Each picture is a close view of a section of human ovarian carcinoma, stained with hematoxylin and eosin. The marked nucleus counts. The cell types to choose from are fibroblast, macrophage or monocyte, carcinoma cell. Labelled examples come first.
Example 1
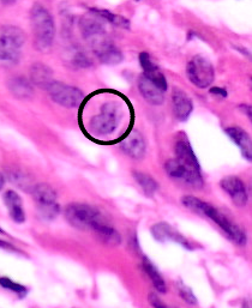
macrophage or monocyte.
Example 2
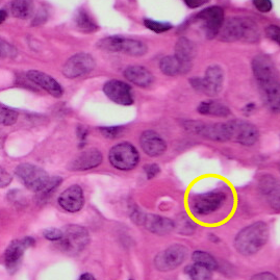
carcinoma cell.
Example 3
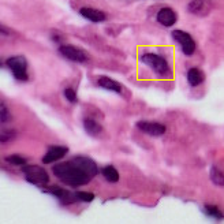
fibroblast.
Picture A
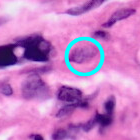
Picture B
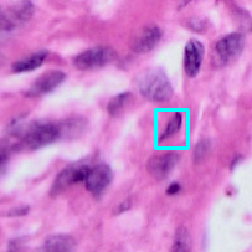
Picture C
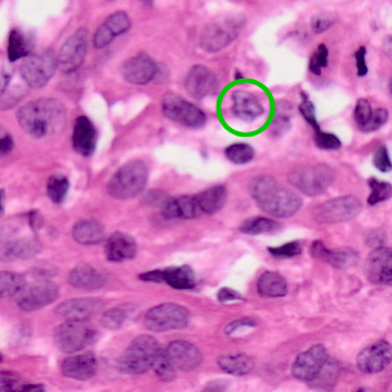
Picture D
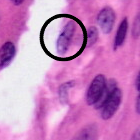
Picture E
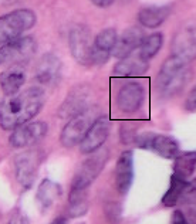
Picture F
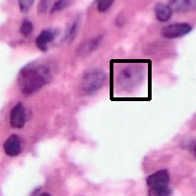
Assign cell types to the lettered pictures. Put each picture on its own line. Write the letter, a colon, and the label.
A: fibroblast.
B: fibroblast.
C: macrophage or monocyte.
D: macrophage or monocyte.
E: carcinoma cell.
F: macrophage or monocyte.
